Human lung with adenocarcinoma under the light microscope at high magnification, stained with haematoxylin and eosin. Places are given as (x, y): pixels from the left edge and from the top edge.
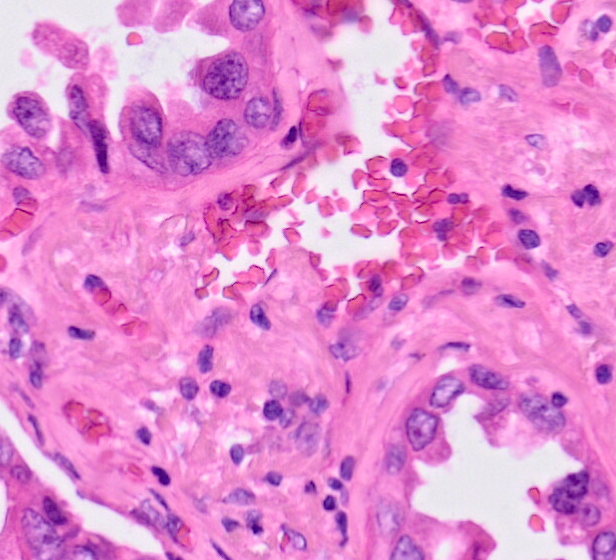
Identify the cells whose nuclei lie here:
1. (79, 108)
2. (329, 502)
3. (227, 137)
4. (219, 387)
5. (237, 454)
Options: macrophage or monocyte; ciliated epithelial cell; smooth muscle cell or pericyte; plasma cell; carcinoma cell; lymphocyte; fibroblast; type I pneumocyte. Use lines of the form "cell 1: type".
cell 1: carcinoma cell
cell 2: lymphocyte
cell 3: carcinoma cell
cell 4: lymphocyte
cell 5: lymphocyte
